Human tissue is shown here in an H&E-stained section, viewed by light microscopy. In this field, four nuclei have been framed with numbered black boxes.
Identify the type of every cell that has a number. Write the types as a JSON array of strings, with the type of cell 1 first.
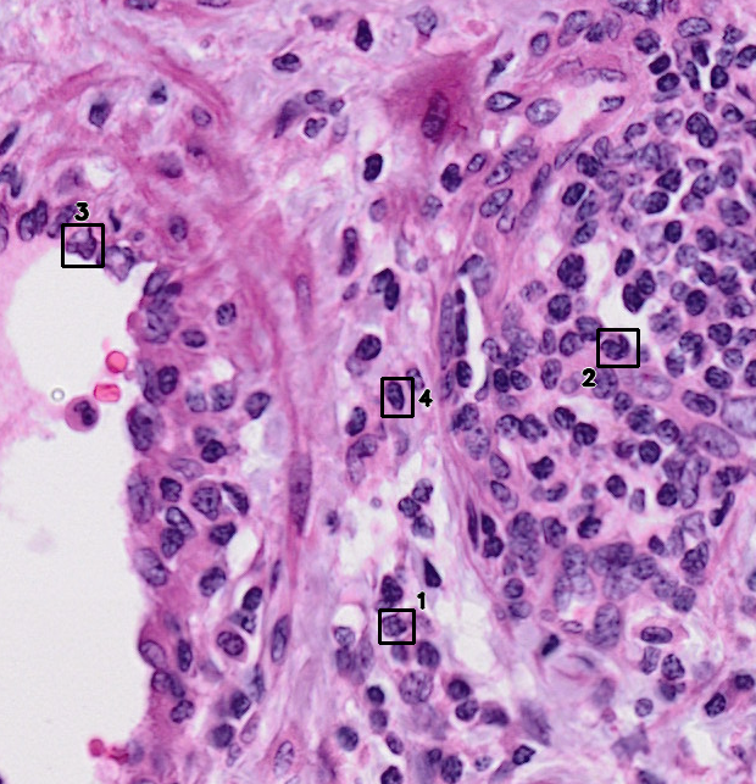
["lymphocyte", "lymphocyte", "endothelial cell", "lymphocyte"]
